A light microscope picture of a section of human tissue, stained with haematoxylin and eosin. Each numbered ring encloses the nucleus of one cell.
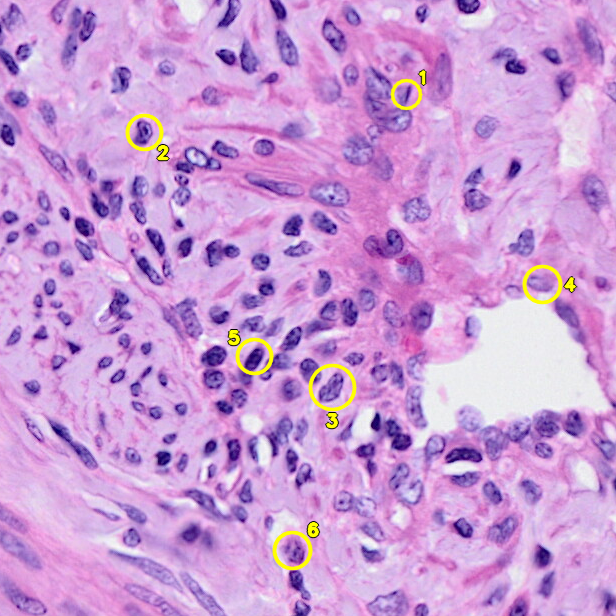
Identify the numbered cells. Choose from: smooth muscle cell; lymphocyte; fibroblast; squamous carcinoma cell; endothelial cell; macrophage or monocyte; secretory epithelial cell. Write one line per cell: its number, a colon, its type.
1: endothelial cell
2: lymphocyte
3: lymphocyte
4: endothelial cell
5: lymphocyte
6: macrophage or monocyte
